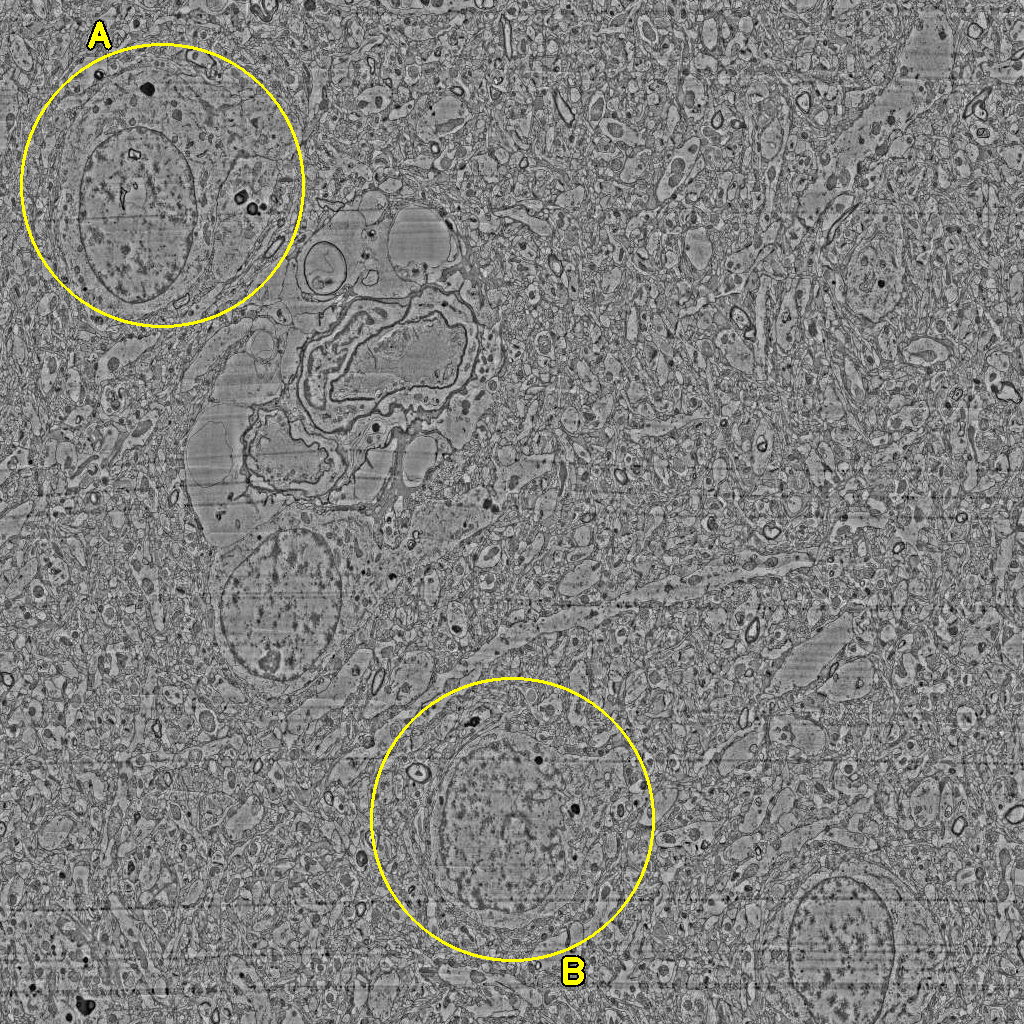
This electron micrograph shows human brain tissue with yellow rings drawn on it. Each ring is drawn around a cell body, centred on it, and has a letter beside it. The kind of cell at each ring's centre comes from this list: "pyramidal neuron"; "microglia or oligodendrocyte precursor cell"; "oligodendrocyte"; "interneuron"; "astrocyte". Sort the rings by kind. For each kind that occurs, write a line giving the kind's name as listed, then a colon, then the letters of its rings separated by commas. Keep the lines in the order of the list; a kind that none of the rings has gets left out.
pyramidal neuron: A
interneuron: B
